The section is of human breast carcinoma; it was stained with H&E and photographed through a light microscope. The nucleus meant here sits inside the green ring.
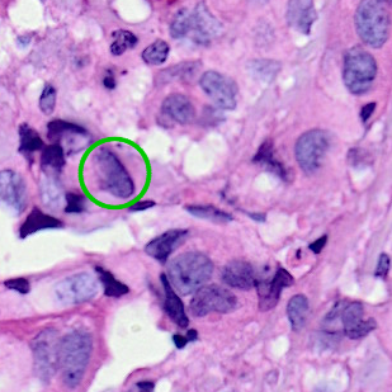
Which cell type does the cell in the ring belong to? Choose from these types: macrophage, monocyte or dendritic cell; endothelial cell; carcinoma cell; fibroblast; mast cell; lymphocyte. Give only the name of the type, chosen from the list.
carcinoma cell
